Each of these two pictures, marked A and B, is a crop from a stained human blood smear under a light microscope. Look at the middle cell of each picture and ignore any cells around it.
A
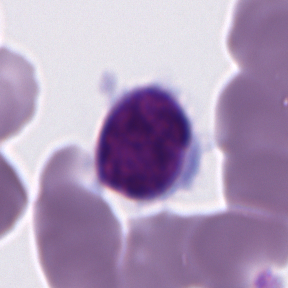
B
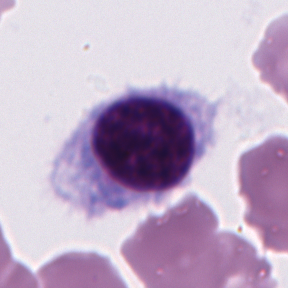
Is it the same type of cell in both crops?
yes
